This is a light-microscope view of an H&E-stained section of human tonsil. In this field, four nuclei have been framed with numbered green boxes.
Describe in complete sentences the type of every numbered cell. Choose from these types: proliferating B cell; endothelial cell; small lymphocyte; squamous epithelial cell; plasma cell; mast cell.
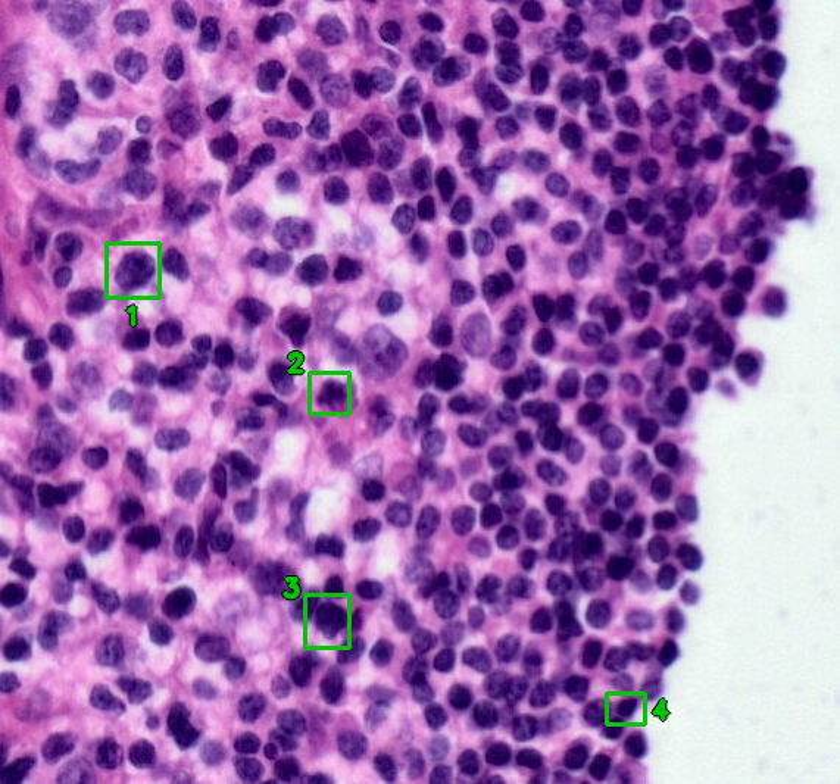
Cell 1 is a proliferating B cell, cell 2 is a proliferating B cell, cell 3 is a proliferating B cell and cell 4 is a small lymphocyte.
